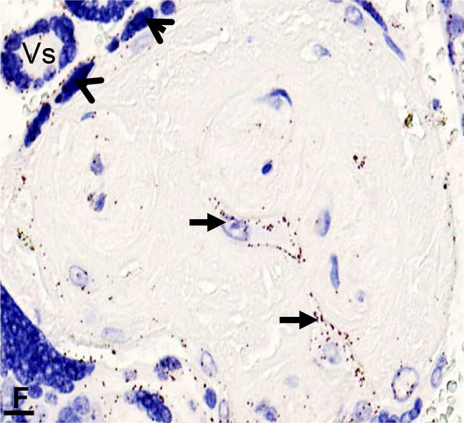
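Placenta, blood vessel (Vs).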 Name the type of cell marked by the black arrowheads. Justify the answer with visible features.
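Syncytiotrophoblast. The arrowheads point to a dense dark blue layer rich in nuclei. This layer lines the surface next to a vessel at the top left.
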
